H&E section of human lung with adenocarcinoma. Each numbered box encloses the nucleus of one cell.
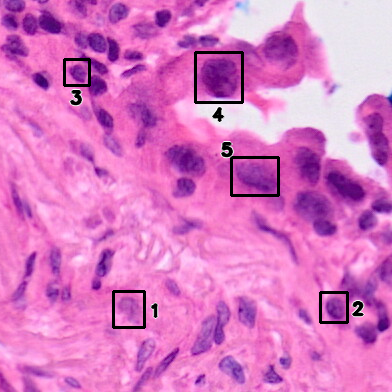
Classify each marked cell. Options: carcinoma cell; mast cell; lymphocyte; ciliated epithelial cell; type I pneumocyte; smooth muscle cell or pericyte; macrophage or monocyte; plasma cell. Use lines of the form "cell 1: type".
cell 1: smooth muscle cell or pericyte
cell 2: plasma cell
cell 3: lymphocyte
cell 4: carcinoma cell
cell 5: carcinoma cell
